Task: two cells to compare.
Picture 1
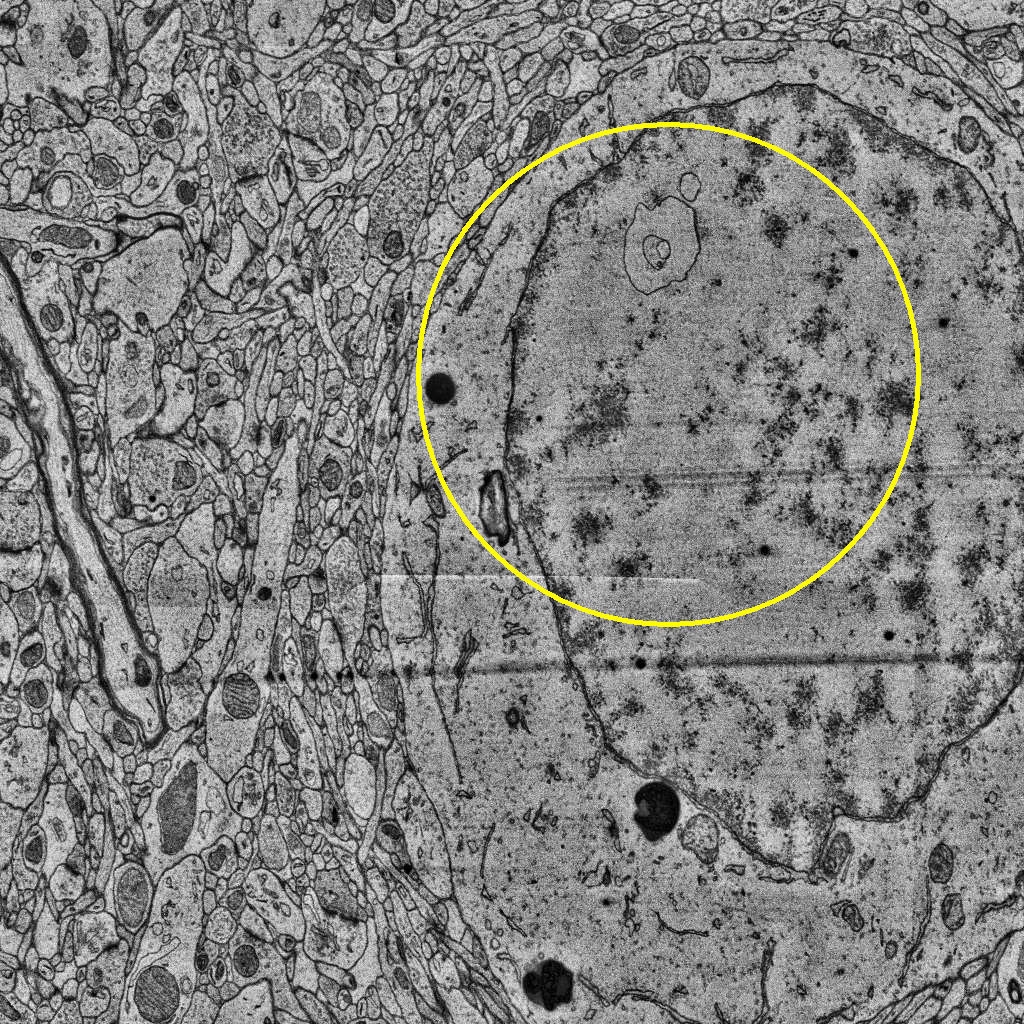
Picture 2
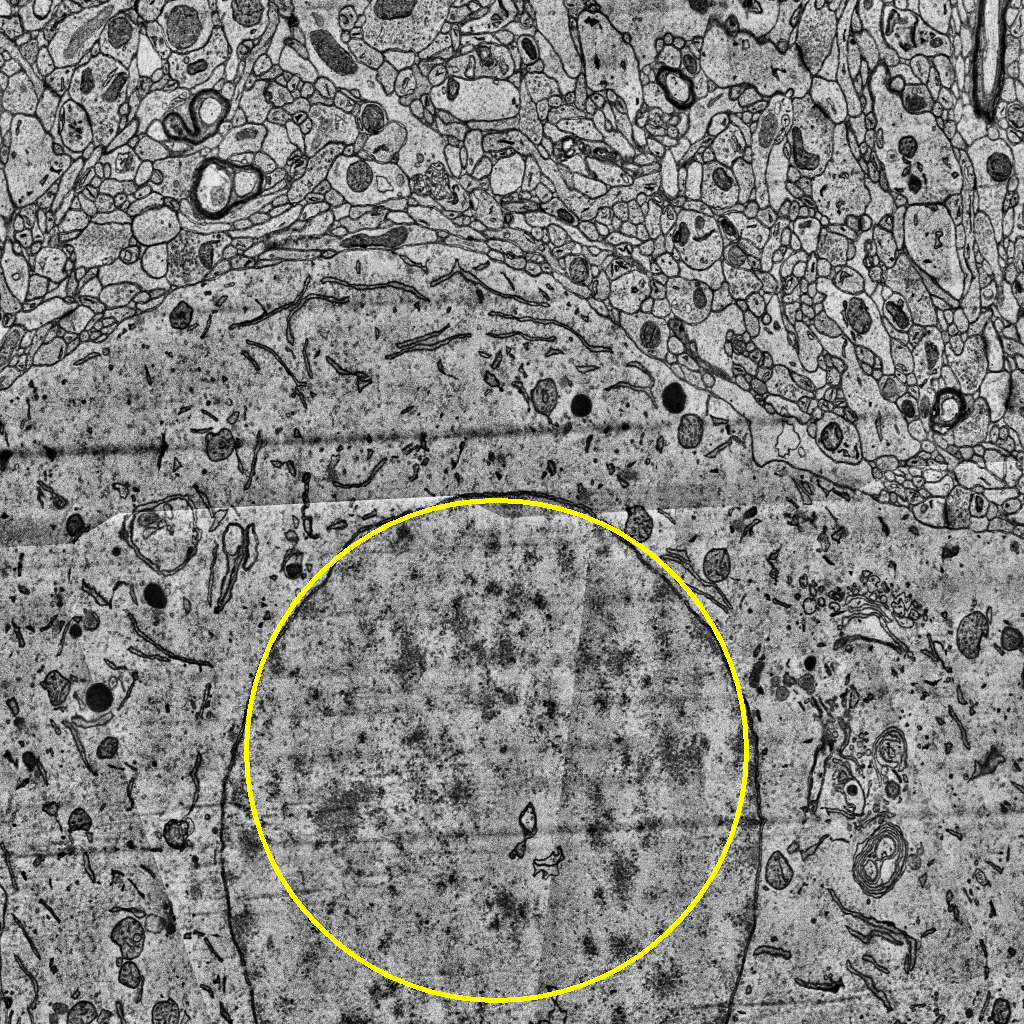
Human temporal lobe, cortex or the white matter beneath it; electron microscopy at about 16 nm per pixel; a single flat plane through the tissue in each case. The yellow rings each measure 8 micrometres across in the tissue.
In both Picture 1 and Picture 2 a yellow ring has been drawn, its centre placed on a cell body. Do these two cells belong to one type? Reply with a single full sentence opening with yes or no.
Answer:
Yes, the two cells at the ring centres in Picture 1 and Picture 2 share one type.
